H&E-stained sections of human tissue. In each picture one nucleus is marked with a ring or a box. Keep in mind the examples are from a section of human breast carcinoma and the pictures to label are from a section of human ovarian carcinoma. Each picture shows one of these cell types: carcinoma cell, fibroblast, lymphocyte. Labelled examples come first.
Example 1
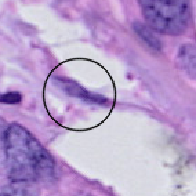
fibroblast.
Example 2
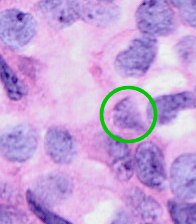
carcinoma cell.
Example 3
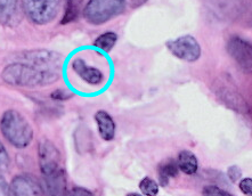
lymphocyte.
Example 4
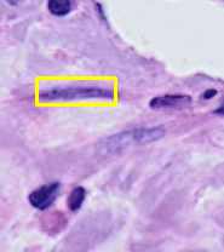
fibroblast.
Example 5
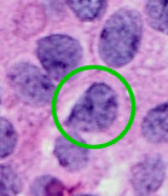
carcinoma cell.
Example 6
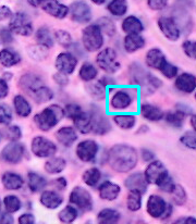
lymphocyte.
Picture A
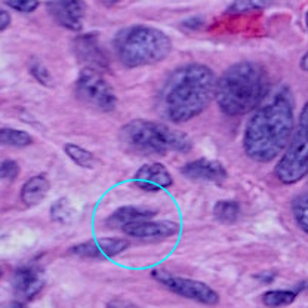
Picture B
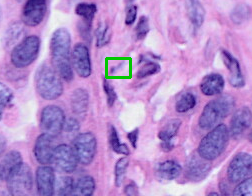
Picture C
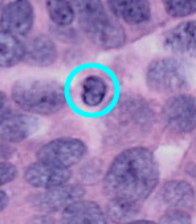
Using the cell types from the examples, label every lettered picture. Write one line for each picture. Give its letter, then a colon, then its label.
A: fibroblast.
B: fibroblast.
C: lymphocyte.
